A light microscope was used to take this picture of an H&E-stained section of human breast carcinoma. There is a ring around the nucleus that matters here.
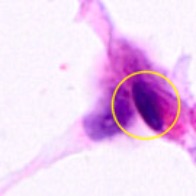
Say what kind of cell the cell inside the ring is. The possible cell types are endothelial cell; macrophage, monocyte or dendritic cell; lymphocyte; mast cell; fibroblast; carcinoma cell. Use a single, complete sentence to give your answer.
Among the cells in this section, the cell inside the ring is an endothelial cell.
